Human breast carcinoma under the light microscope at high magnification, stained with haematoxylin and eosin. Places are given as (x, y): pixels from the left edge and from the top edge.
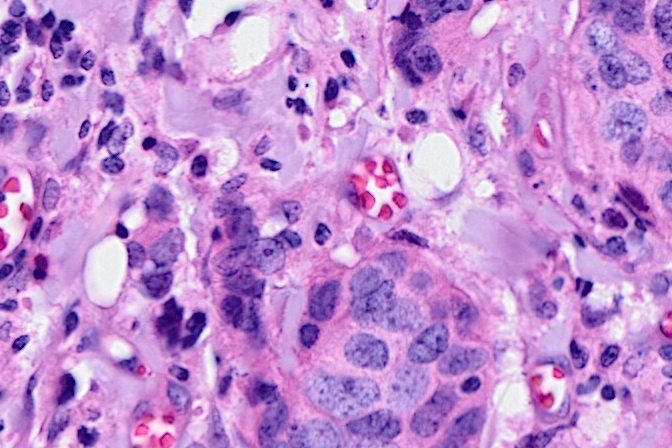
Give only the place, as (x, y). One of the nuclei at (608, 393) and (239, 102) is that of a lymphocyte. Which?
(608, 393)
